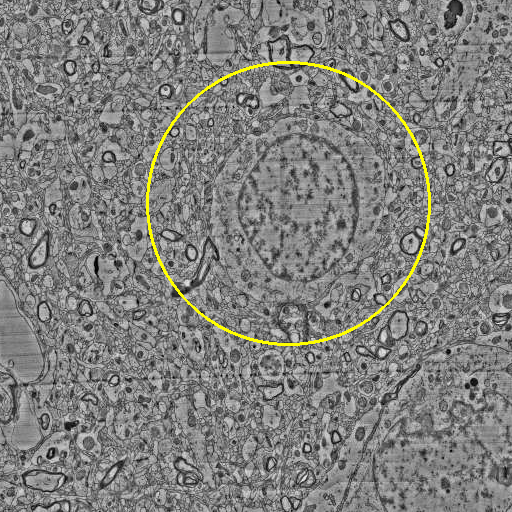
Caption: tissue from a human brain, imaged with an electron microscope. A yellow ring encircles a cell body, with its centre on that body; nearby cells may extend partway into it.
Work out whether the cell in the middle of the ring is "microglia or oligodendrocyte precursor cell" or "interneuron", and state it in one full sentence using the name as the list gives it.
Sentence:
In the picture, the cell that the yellow ring surrounds at its centre is an interneuron.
